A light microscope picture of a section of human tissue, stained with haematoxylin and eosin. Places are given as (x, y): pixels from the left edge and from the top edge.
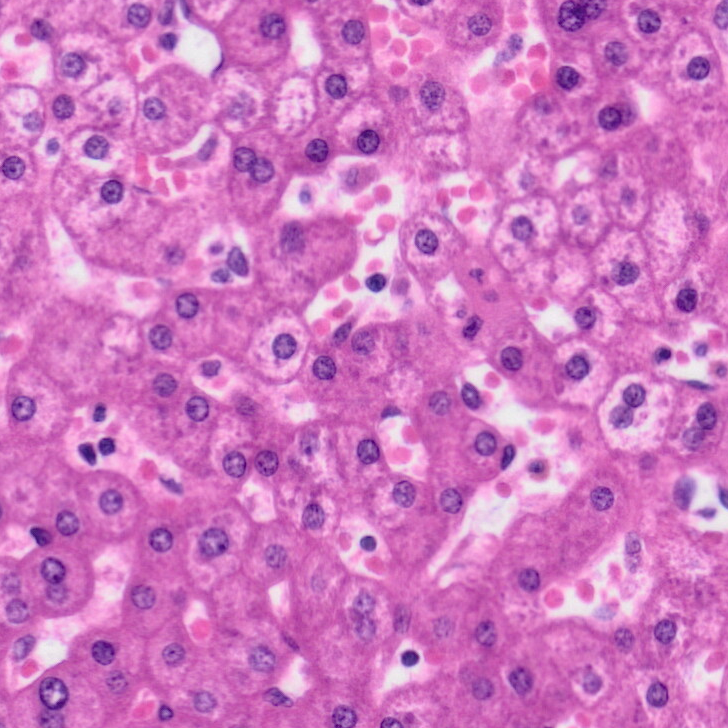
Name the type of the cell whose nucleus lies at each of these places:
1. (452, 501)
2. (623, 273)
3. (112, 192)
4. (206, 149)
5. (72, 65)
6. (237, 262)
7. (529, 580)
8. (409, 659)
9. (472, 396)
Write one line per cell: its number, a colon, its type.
1: hepatocyte
2: hepatocyte
3: hepatocyte
4: Kupffer cell
5: hepatocyte
6: Kupffer cell
7: hepatocyte
8: lymphocyte
9: Kupffer cell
